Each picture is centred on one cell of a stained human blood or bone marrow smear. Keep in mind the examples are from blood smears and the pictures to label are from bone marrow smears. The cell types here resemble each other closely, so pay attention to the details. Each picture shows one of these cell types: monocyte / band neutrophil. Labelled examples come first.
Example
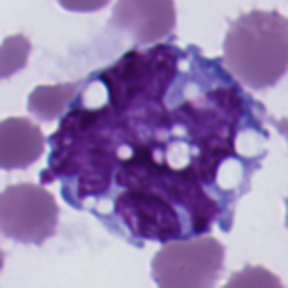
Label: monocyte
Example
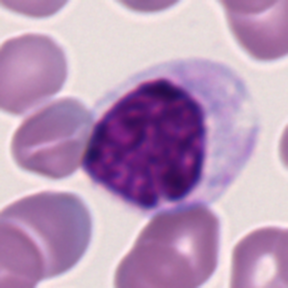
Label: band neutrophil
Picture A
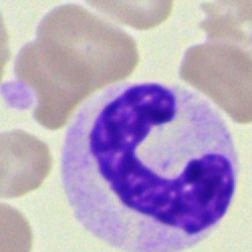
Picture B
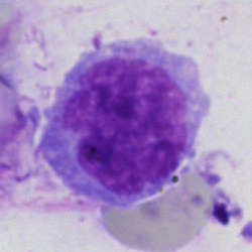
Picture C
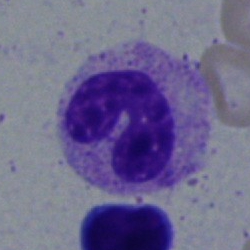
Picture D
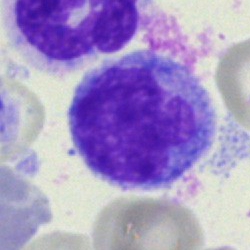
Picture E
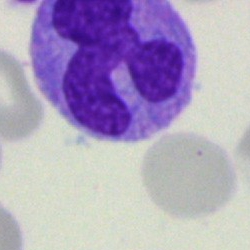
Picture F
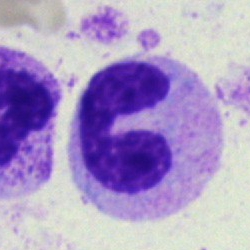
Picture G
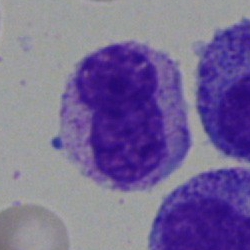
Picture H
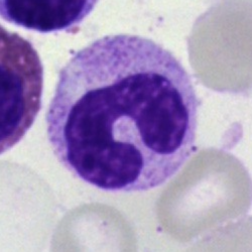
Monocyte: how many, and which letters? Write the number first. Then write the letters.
3: B, D, E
